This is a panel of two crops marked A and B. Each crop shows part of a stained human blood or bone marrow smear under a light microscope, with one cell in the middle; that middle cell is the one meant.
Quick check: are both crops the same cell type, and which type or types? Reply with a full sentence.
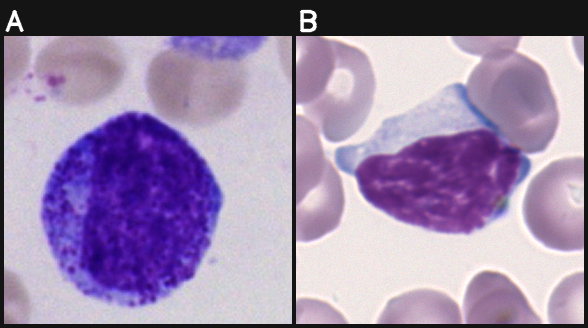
No, crop B centres on a blast, and crop A centres on a promyelocyte.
